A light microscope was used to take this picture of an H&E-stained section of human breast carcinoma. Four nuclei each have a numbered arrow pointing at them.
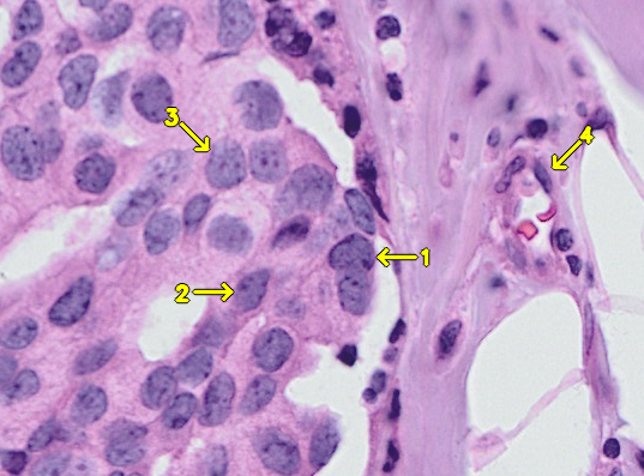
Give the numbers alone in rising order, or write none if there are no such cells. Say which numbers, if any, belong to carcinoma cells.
1, 2, 3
